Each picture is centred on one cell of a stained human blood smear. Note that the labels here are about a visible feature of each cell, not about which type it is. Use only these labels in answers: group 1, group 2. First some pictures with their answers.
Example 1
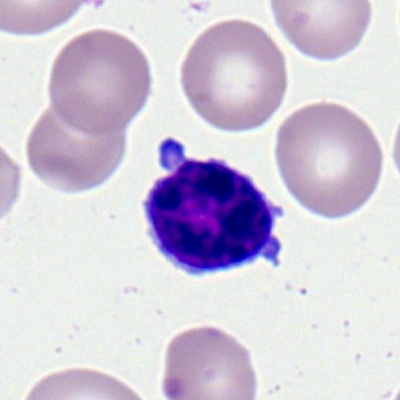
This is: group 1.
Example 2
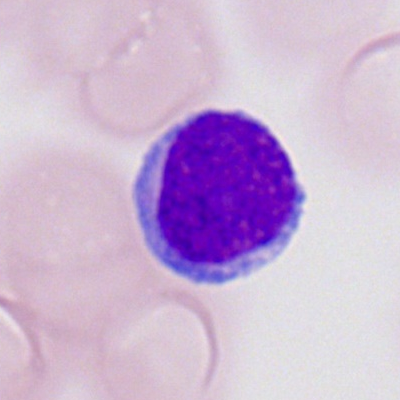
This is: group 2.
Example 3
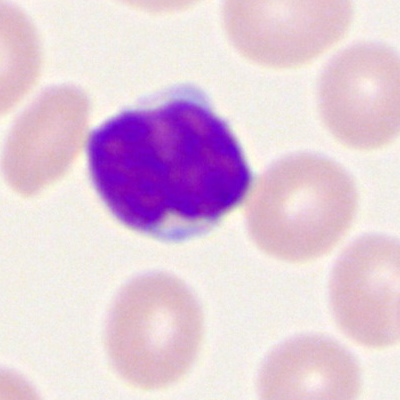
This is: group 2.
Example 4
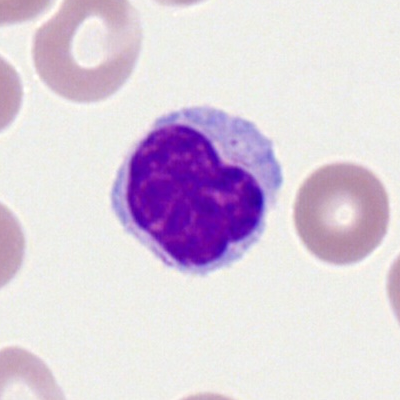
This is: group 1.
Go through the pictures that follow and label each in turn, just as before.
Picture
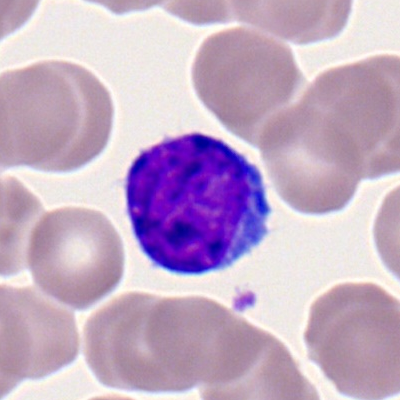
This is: group 1.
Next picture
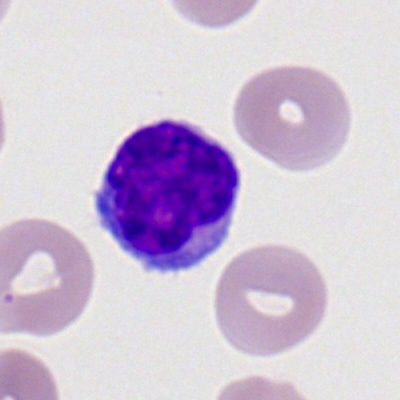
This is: group 1.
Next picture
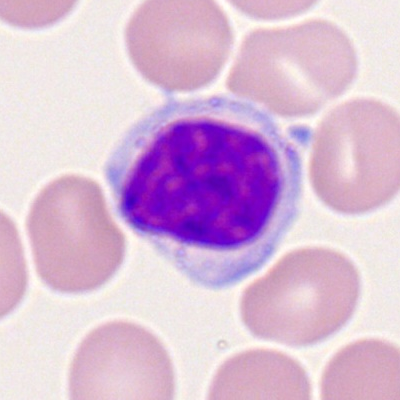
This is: group 1.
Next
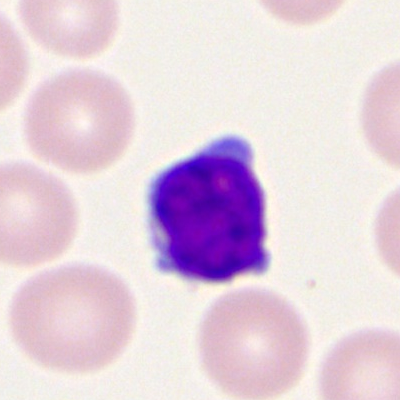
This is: group 1.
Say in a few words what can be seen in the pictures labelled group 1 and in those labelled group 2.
Seen in group 1: ragged outline or projections; seen in group 2: smooth outline.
